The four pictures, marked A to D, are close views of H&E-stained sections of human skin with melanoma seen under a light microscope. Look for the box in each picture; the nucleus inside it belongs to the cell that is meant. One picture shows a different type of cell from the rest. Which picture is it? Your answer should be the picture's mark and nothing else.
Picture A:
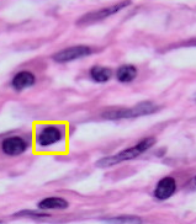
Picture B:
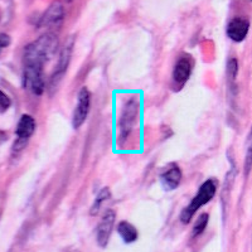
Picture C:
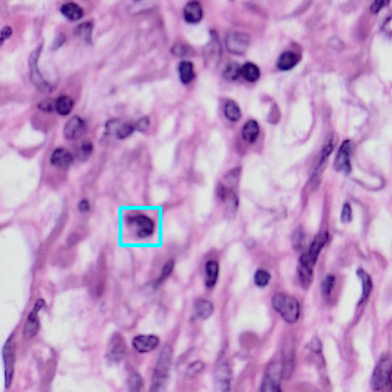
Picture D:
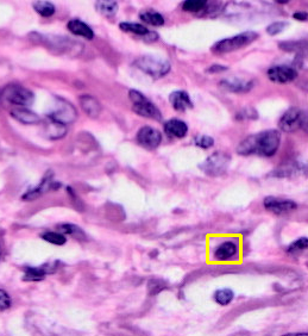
B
